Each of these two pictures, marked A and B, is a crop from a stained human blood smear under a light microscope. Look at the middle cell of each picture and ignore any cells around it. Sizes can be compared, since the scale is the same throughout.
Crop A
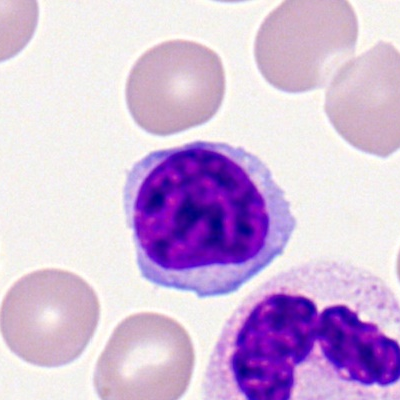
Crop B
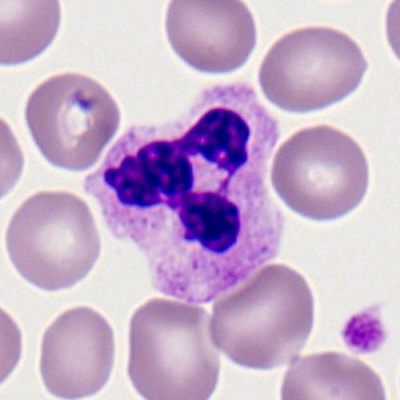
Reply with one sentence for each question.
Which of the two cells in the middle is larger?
Larger is the cell in crop B, at roughly 1.5 times the area of the other.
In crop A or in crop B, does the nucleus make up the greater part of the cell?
In crop A the nucleus takes up the larger part of its cell.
